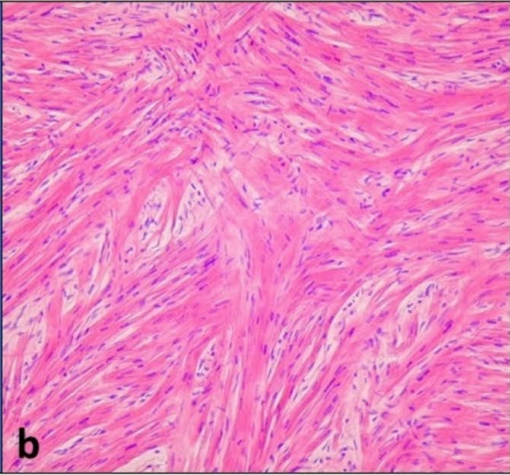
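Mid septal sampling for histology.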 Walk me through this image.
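Heart muscle in which the myocytes are arranged in disarray. Pink-staining, elongated muscle fibres run in many directions, forming interlacing bundles that cross and swirl around one another instead of lying in a single orientation. The nuclei are dark purple-blue, elongated, and scattered throughout, pointing in varying directions with the fibres that hold them. The fibres vary in width and outline, and no regular parallel arrangement can be traced across the field.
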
